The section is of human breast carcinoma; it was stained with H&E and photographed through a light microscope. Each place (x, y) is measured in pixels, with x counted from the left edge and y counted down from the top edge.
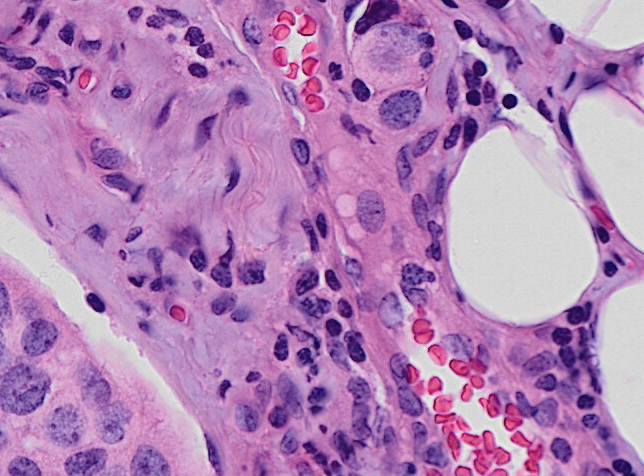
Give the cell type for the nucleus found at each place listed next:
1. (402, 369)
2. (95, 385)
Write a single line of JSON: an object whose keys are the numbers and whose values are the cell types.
{"1": "endothelial cell", "2": "carcinoma cell"}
